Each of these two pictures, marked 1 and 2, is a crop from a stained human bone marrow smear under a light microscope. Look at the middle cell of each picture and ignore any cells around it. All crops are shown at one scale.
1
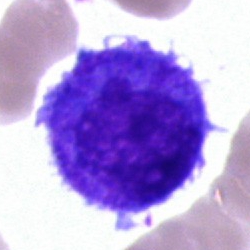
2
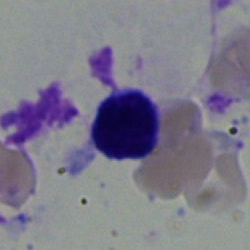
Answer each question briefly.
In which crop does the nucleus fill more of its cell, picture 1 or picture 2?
2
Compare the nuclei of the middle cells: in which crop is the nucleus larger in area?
1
